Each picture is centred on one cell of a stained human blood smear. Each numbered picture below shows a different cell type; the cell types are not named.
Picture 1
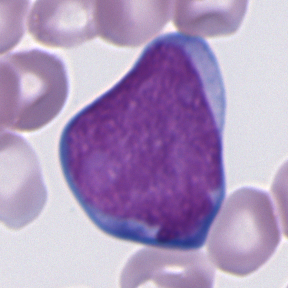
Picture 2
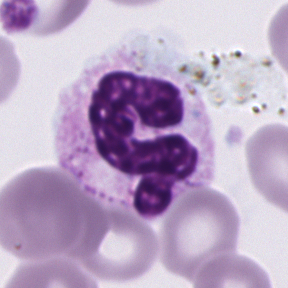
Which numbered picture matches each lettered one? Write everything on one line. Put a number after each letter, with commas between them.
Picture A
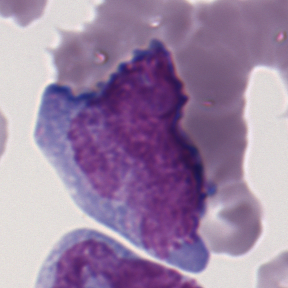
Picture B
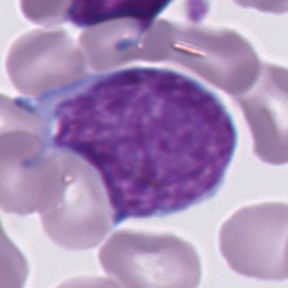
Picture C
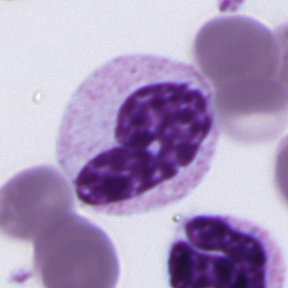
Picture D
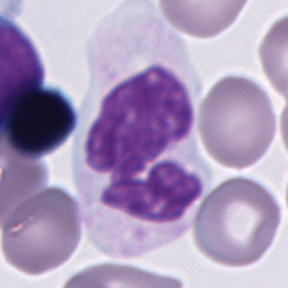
A 1, B 1, C 2, D 2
